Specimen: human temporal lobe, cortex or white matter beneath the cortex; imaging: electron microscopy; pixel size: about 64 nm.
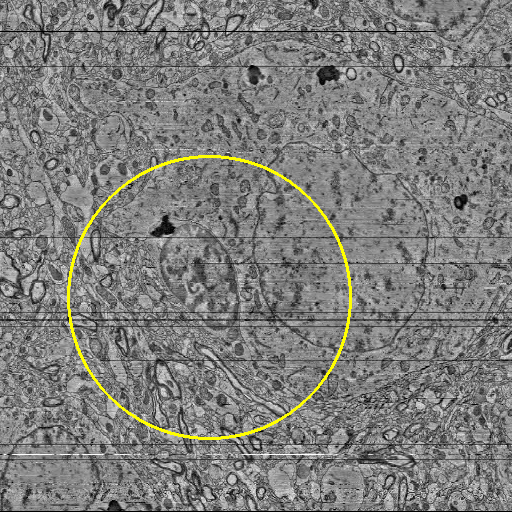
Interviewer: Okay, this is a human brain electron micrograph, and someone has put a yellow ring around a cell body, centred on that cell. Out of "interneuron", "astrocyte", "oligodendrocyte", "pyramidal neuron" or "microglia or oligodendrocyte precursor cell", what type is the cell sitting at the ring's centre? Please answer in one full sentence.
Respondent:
The cell at the centre of the yellow ring in this picture is an oligodendrocyte.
